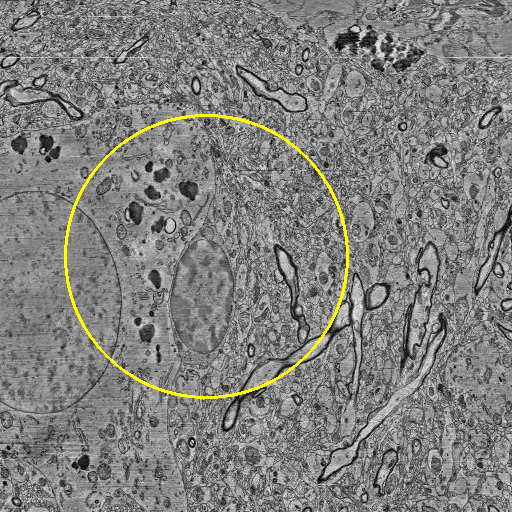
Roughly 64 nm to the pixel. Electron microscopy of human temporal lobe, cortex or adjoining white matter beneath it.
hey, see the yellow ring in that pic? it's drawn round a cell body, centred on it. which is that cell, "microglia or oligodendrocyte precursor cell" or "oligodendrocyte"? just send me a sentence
The cell in the ring is an oligodendrocyte.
